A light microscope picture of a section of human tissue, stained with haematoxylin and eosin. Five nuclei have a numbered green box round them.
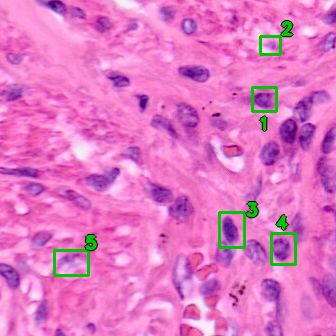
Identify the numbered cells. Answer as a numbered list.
1. plasma cell
2. smooth muscle cell or pericyte
3. lymphocyte
4. mast cell
5. smooth muscle cell or pericyte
